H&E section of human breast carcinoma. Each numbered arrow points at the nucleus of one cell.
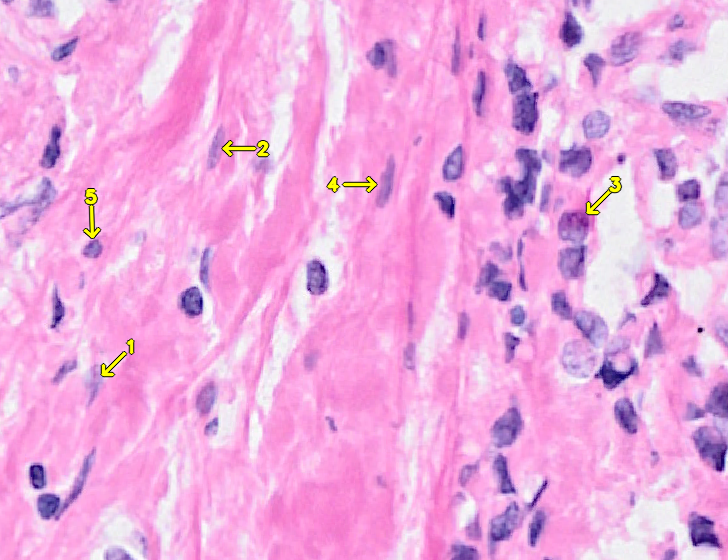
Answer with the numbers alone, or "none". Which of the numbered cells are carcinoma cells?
3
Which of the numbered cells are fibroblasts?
1, 2, 4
